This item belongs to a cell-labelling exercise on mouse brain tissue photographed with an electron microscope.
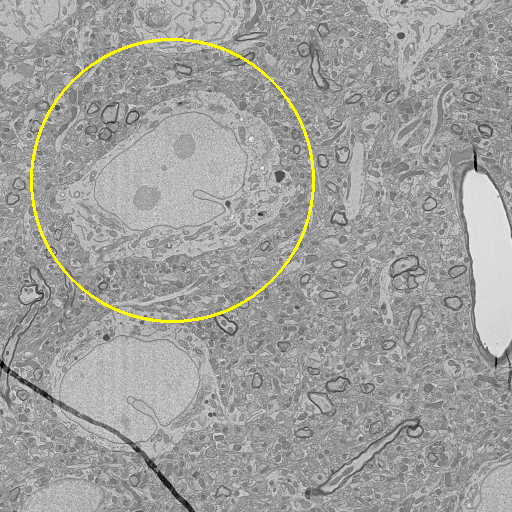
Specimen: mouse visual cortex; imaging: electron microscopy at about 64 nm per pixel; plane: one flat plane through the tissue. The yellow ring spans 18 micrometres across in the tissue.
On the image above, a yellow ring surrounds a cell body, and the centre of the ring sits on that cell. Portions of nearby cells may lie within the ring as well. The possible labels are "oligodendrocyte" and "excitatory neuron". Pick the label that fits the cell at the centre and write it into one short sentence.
This cell should be labelled as an excitatory neuron.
